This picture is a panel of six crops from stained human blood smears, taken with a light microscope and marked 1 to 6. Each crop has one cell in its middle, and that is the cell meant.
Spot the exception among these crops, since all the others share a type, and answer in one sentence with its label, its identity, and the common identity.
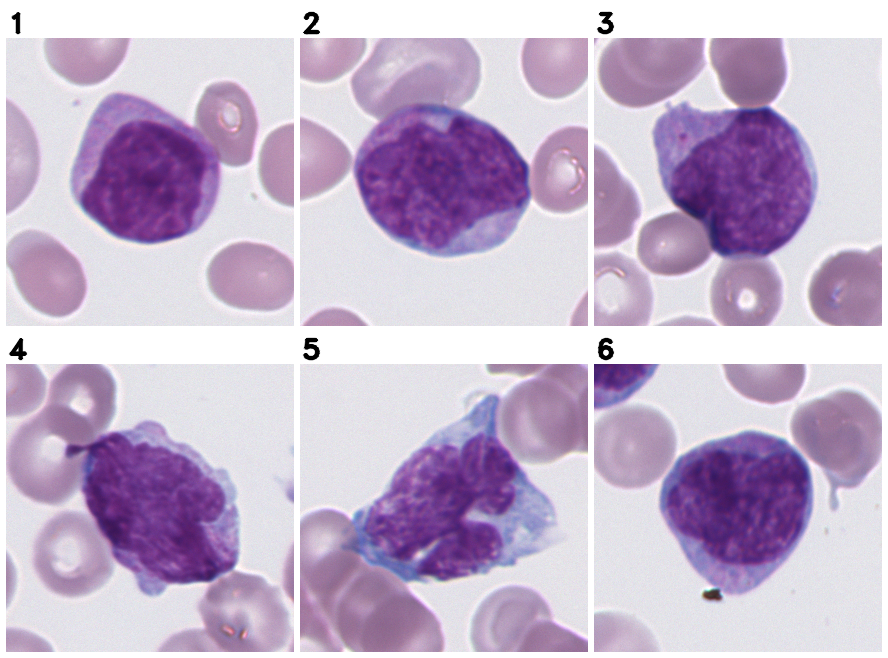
Crop 5 is not like the others: it is a monocyte, and they are atypical promyelocytes.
